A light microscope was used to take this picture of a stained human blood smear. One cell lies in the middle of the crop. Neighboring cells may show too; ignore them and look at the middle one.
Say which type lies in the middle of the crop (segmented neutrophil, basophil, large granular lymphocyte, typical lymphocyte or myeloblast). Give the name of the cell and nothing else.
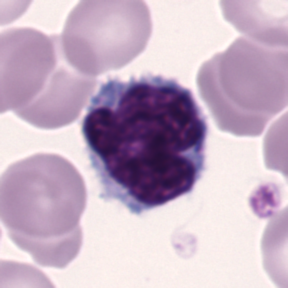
typical lymphocyte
